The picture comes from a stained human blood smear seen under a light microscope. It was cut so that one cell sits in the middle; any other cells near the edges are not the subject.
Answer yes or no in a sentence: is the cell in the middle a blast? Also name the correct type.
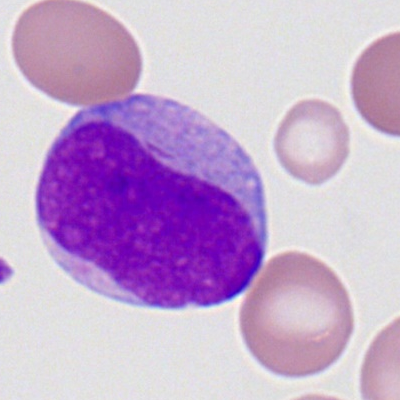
Yes, this crop has a blast at its centre.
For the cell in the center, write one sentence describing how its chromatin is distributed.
The chromatin is fine, with no coarse clumping anywhere.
